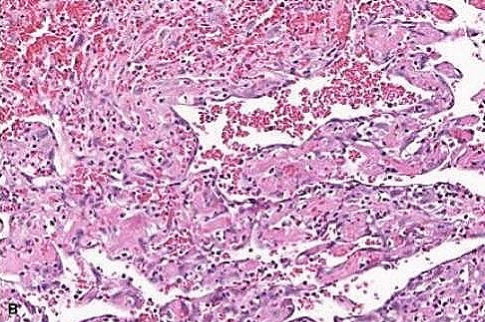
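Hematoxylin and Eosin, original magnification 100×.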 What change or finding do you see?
Hemorrhage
